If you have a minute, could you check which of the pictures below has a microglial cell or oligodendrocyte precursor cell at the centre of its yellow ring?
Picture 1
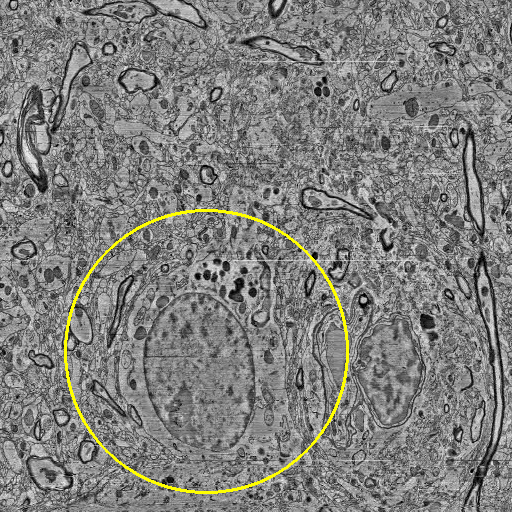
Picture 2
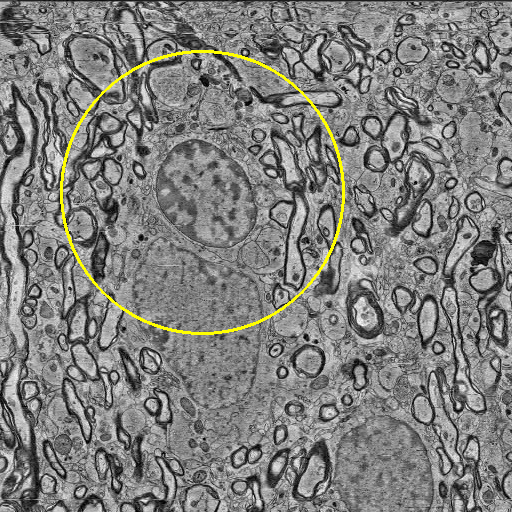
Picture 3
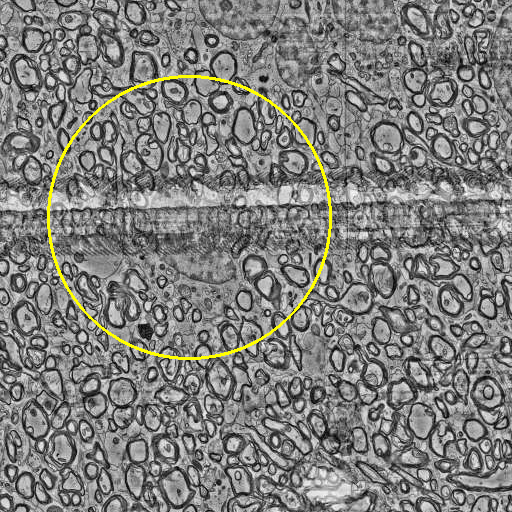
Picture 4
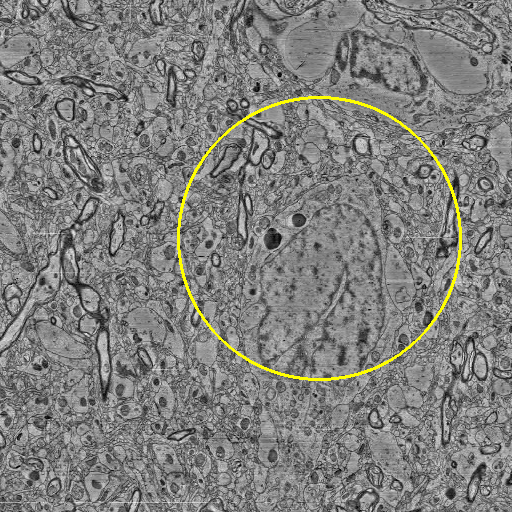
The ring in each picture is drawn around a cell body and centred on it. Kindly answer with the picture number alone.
2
